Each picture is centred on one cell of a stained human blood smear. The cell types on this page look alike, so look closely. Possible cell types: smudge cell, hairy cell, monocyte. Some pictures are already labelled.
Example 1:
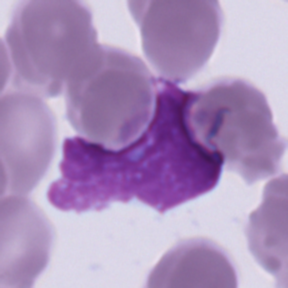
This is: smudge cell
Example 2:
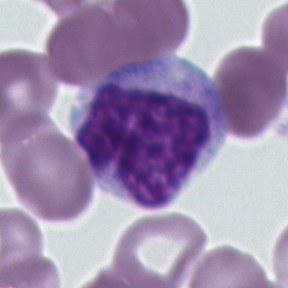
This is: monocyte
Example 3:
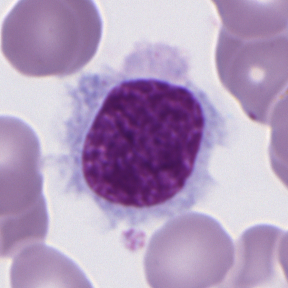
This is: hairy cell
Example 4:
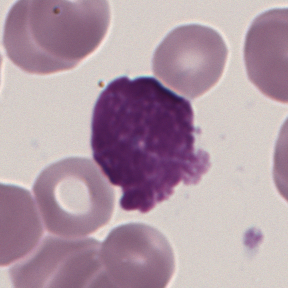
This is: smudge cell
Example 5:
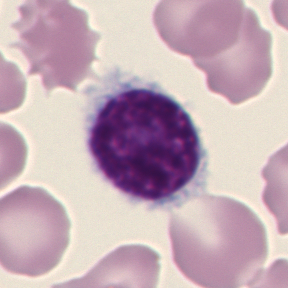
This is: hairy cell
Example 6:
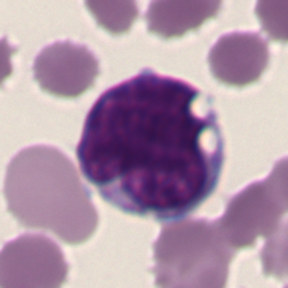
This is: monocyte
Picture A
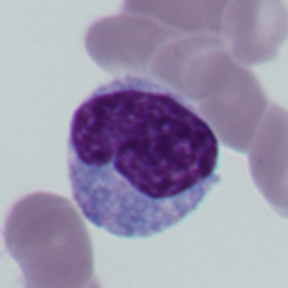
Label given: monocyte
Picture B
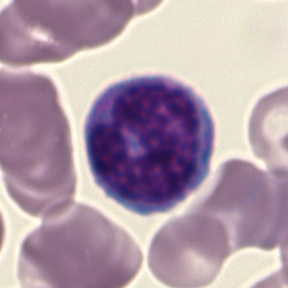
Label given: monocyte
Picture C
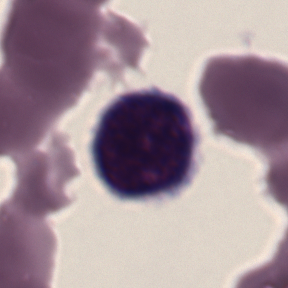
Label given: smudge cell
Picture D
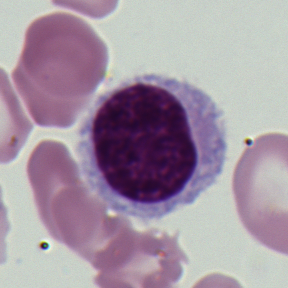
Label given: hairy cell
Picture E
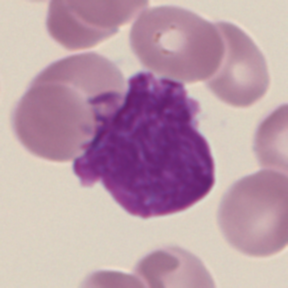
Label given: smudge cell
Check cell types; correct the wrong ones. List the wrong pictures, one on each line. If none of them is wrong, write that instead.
C: change smudge cell to hairy cell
